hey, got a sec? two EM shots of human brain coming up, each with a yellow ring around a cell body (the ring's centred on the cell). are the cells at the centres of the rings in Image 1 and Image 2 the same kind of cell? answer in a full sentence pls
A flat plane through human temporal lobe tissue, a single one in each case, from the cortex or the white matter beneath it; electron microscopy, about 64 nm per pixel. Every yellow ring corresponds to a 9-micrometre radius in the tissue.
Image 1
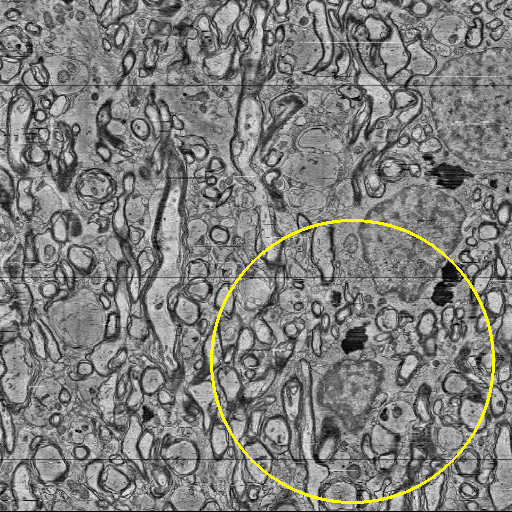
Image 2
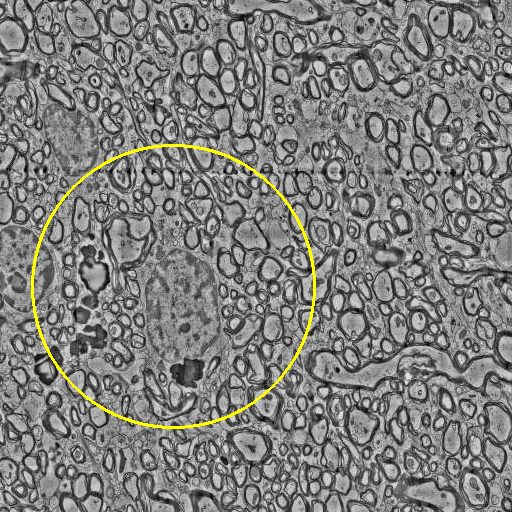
Yes, both are the same kind of cell.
